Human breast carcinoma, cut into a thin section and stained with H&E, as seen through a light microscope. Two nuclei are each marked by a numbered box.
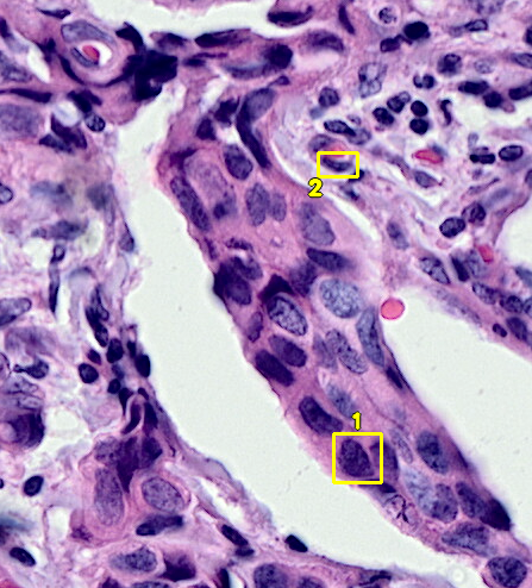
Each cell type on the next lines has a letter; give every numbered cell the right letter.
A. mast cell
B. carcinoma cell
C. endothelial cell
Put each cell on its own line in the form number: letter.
1: B
2: C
